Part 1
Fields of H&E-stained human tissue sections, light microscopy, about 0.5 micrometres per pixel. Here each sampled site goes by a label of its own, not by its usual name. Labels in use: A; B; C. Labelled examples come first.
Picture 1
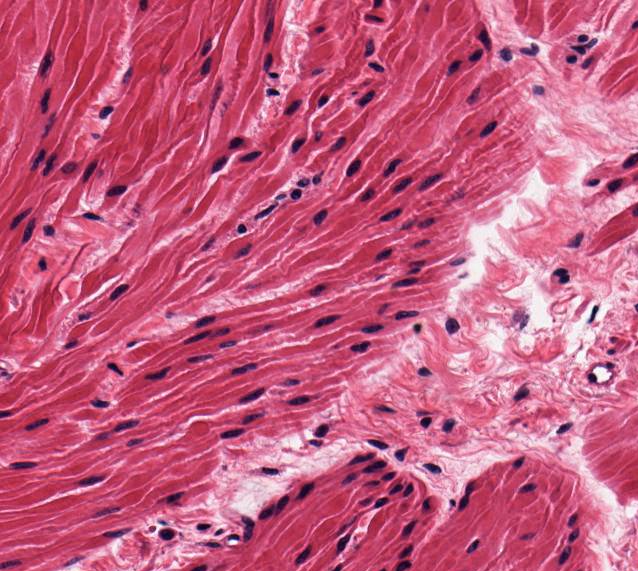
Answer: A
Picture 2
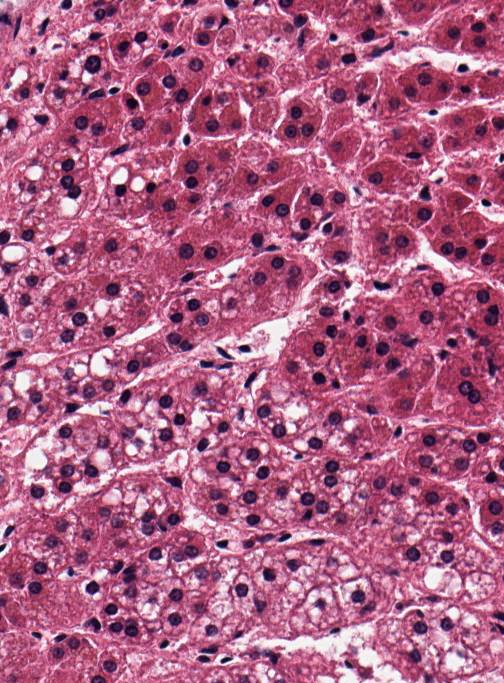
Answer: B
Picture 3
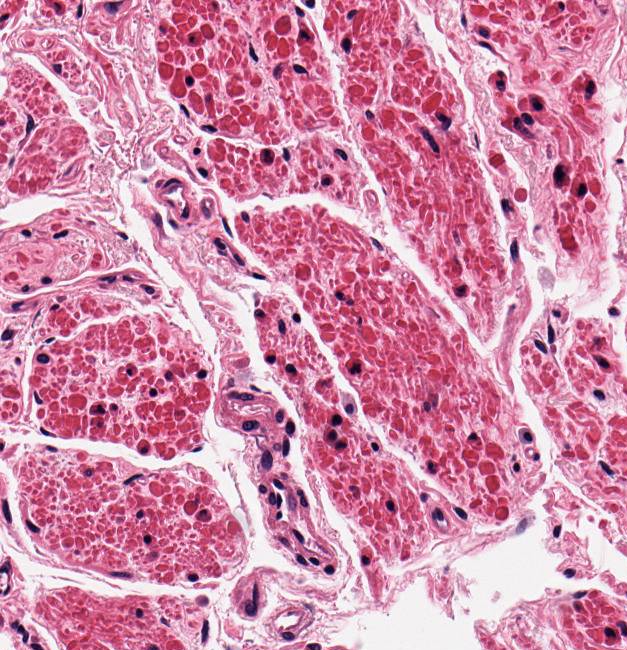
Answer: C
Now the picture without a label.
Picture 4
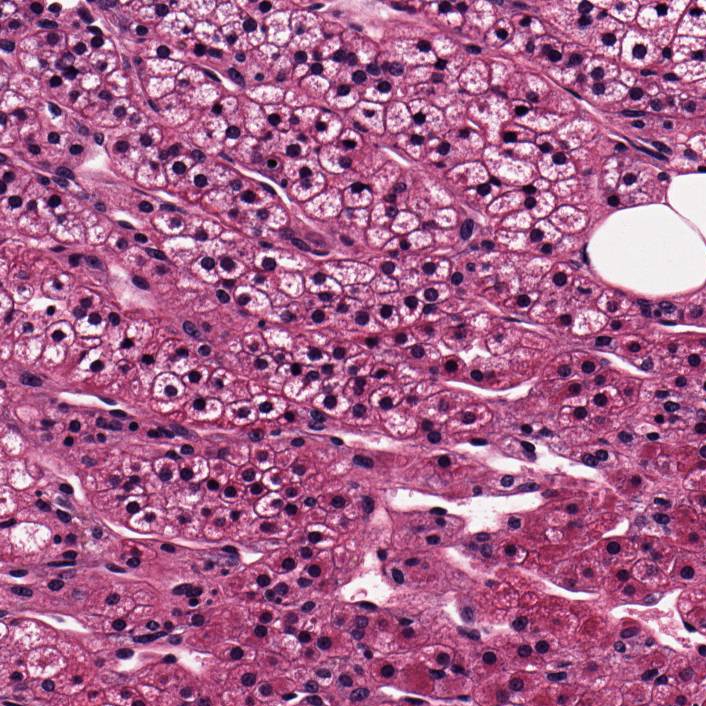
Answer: B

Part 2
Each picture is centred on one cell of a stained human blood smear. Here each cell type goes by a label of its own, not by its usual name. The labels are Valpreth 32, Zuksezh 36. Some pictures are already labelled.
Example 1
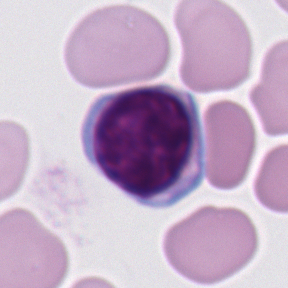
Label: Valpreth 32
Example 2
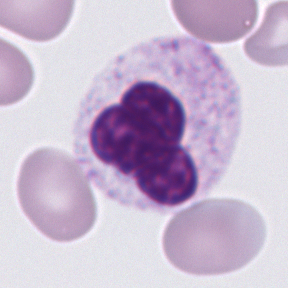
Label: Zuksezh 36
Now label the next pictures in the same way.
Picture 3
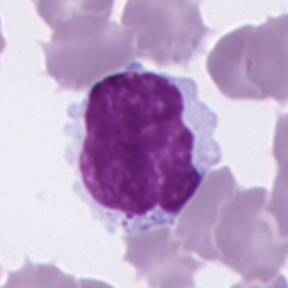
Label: Valpreth 32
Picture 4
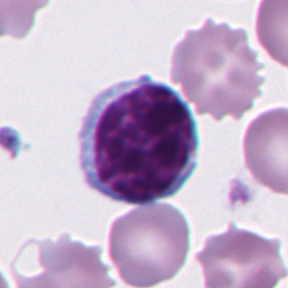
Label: Valpreth 32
